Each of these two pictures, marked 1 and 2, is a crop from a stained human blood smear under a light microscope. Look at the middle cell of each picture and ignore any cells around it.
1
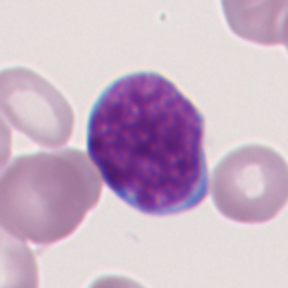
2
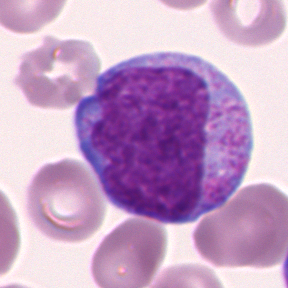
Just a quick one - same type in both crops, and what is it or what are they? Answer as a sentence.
No, crop 1 carries a myeloblast and crop 2 carries an atypical promyelocyte.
